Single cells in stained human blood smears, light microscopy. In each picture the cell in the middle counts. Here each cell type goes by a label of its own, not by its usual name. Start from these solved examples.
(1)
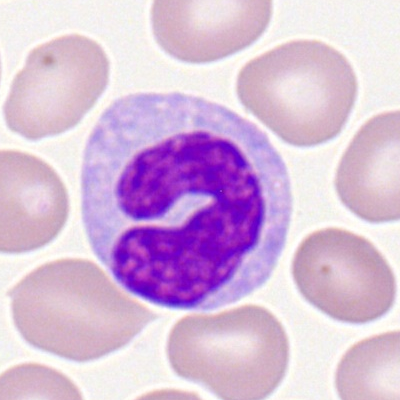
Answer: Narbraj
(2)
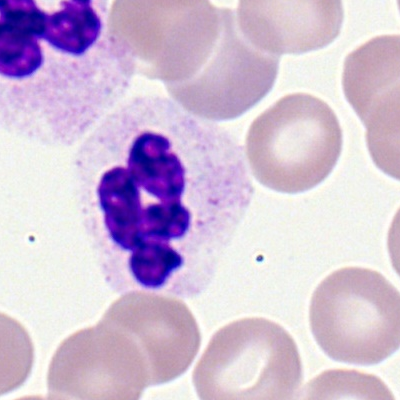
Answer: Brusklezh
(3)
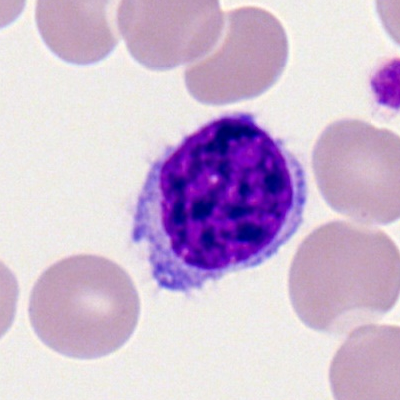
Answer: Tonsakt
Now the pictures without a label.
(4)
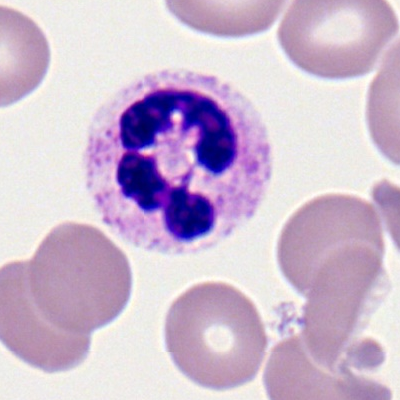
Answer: Brusklezh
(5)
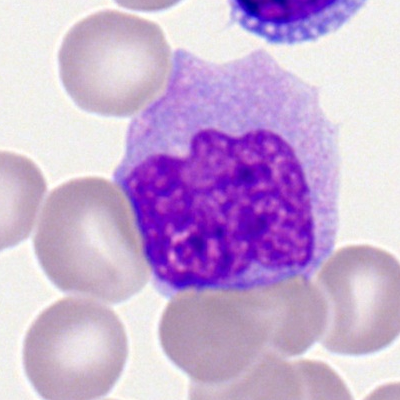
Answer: Narbraj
